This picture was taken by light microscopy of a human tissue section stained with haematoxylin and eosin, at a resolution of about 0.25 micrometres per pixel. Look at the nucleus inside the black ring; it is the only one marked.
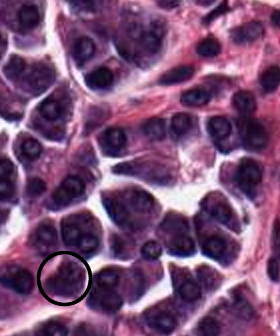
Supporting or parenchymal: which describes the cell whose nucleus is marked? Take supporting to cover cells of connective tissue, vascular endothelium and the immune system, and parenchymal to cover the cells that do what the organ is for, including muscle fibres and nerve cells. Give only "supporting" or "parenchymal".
parenchymal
